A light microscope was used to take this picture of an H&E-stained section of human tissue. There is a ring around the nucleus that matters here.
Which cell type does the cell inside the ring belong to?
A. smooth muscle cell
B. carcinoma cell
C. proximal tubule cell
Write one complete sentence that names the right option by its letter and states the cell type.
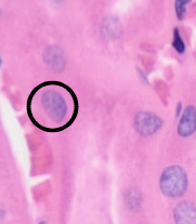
Option C is the correct one, since the cell inside the ring is a proximal tubule cell.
